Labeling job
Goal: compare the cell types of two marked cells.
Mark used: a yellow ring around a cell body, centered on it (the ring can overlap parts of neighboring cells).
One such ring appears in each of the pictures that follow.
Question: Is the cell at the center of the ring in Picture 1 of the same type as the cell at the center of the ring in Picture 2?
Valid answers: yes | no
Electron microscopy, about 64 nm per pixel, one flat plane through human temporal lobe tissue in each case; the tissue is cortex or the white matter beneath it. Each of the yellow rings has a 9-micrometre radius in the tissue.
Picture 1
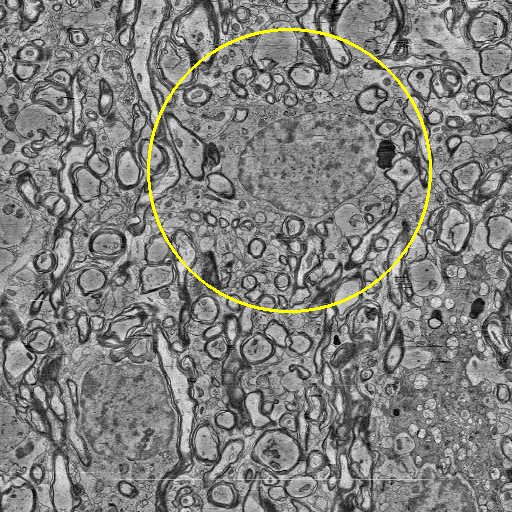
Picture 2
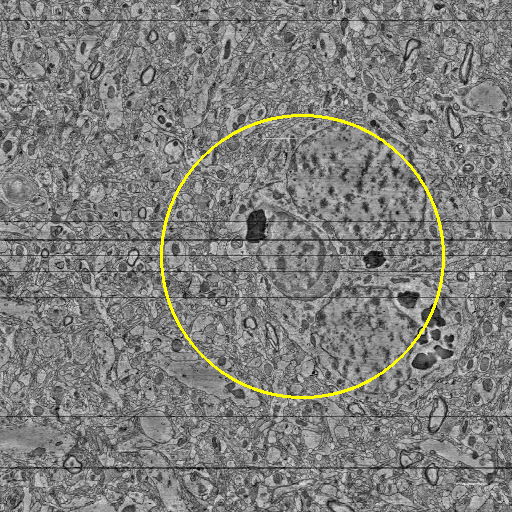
yes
